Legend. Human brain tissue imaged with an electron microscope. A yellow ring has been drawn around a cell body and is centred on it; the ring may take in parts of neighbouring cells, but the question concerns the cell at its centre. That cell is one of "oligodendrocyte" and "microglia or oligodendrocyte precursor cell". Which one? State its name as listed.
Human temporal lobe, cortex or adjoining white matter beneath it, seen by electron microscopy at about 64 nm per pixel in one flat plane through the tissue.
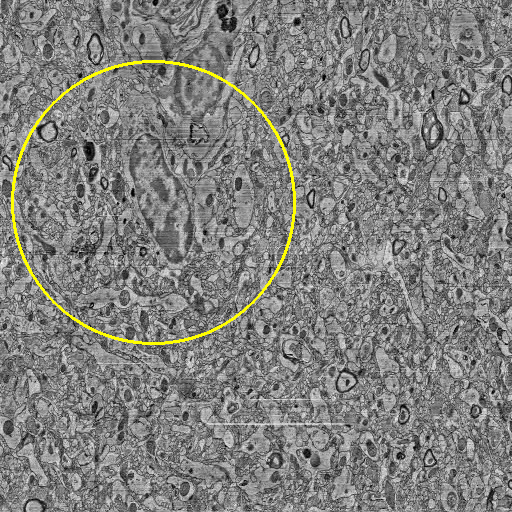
microglia or oligodendrocyte precursor cell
